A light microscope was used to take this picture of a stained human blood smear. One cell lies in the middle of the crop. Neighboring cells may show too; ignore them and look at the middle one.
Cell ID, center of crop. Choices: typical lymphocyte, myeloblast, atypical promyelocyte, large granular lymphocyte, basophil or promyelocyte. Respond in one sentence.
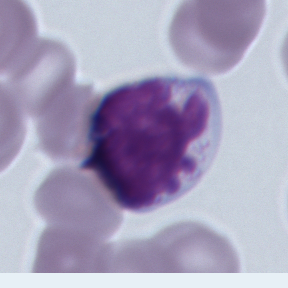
The middle cell in this particular crop is a large granular lymphocyte.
